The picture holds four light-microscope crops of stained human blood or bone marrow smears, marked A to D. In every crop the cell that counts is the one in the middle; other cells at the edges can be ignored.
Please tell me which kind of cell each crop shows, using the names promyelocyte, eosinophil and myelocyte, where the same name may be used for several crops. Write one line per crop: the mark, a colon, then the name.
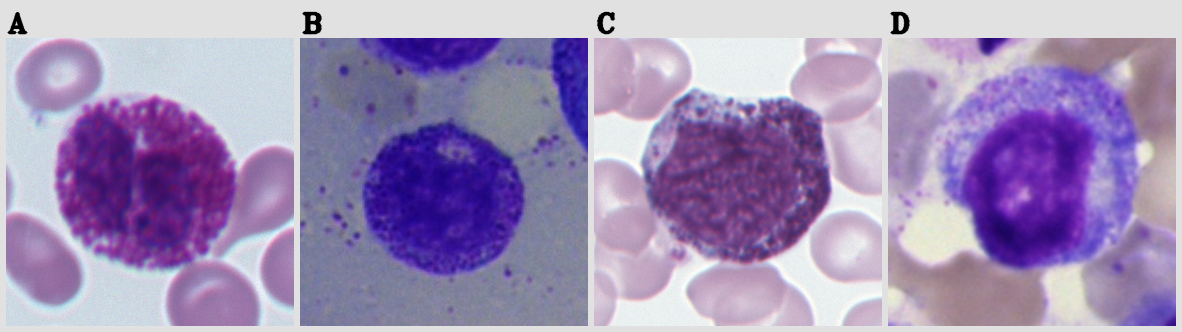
A: eosinophil
B: myelocyte
C: promyelocyte
D: promyelocyte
